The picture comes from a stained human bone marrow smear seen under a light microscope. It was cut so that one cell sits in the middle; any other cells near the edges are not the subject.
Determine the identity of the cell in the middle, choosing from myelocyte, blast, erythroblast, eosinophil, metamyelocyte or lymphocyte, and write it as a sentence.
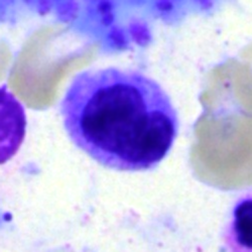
The cell at the heart of this crop is a metamyelocyte.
